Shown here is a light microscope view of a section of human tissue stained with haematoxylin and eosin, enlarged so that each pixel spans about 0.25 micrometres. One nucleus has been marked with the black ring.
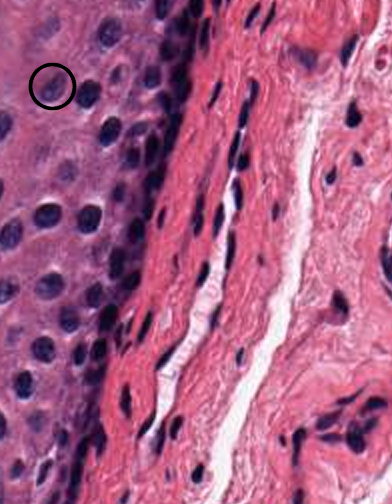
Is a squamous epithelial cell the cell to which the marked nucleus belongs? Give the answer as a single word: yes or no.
yes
